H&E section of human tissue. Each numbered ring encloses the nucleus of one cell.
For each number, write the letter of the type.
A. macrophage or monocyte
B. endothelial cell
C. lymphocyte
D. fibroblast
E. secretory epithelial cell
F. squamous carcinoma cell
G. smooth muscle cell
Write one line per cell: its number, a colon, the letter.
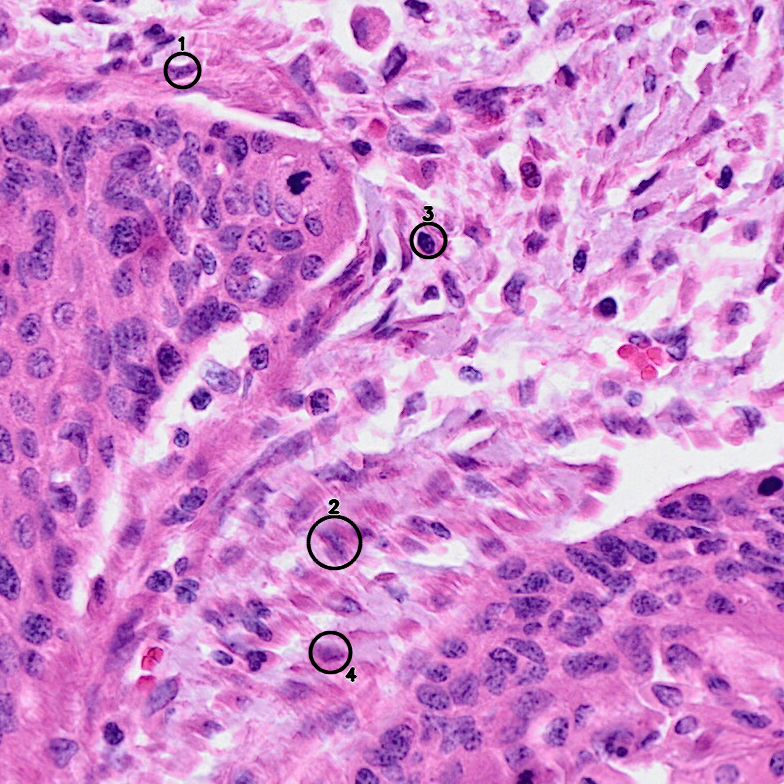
1: D
2: D
3: C
4: D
